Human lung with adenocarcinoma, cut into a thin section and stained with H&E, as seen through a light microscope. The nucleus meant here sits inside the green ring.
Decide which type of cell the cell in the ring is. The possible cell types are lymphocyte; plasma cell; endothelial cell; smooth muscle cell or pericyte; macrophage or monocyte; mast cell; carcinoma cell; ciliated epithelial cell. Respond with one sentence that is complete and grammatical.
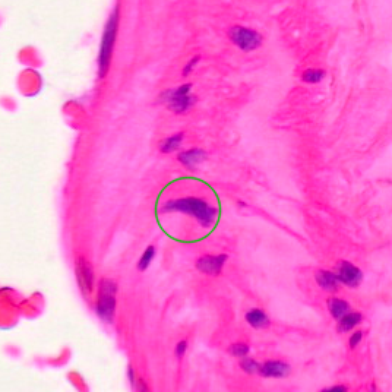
Right, so the cell in the ring is a smooth muscle cell or pericyte, to answer that.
